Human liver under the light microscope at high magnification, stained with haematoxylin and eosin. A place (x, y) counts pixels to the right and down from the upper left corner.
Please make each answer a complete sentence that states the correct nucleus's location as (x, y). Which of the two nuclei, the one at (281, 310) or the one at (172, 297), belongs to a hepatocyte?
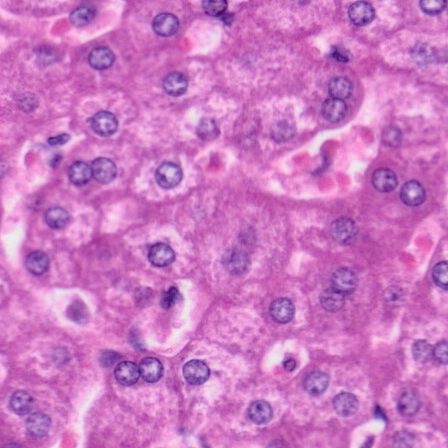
The pair contains one nucleus of a hepatocyte, namely the one at (281, 310).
